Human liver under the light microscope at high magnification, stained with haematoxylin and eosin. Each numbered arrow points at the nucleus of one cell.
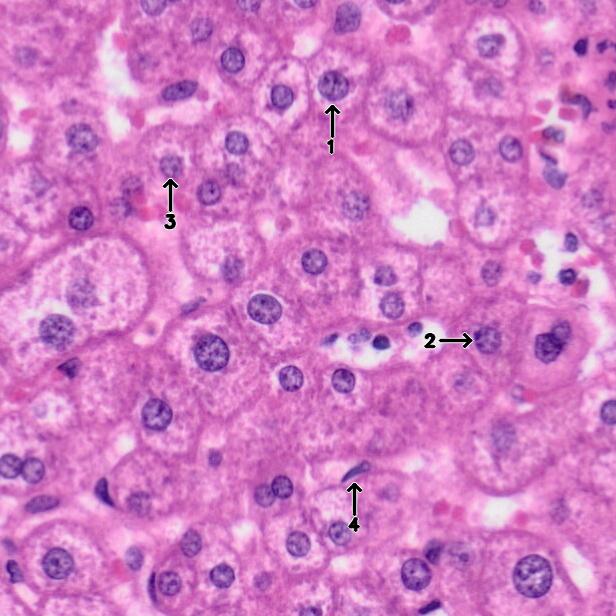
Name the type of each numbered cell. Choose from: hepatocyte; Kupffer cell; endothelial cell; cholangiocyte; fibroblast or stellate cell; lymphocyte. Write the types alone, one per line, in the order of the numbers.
hepatocyte
hepatocyte
hepatocyte
endothelial cell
